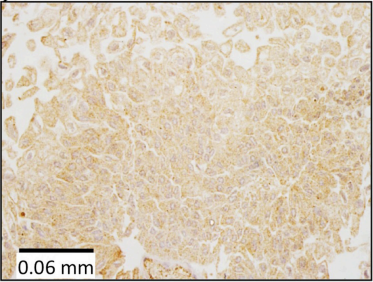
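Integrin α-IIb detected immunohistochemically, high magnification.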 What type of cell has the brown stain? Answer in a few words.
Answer: Tumor cells.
